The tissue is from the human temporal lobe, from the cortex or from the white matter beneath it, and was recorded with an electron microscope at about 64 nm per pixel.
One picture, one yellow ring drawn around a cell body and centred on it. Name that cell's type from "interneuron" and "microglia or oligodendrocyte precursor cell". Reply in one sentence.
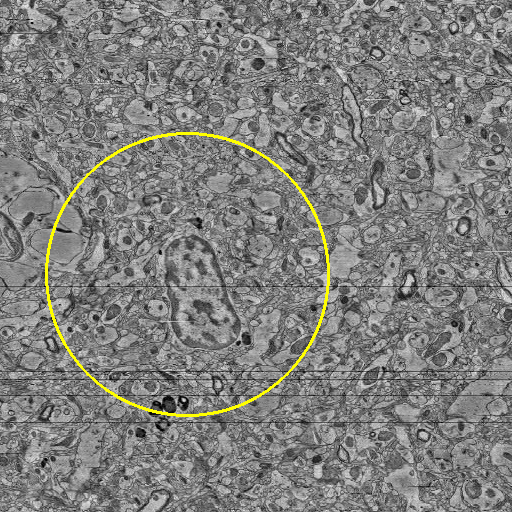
Centred in the ring is a microglial cell or oligodendrocyte precursor cell.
